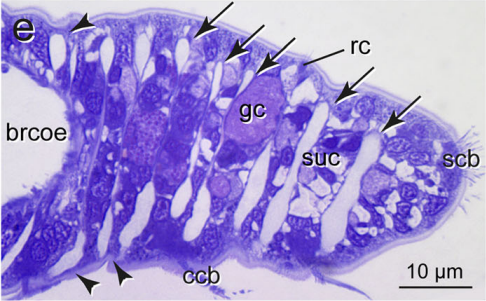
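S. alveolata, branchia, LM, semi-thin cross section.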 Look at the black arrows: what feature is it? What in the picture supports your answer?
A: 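Elongated pale, empty channels run in parallel at regular intervals. The channels lie between the purple-stained epidermal cells, reaching toward the surface. So: transverse vessels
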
